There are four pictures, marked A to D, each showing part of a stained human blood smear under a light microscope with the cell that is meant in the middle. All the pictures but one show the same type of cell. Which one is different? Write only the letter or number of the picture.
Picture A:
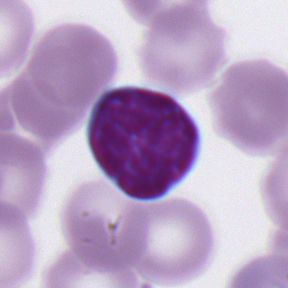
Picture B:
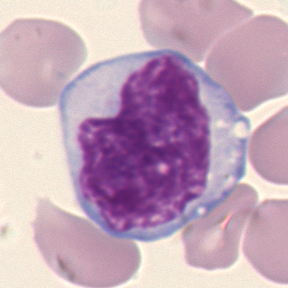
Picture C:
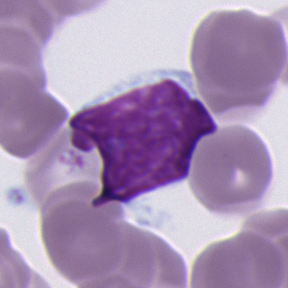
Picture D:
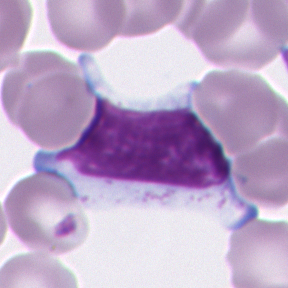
B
